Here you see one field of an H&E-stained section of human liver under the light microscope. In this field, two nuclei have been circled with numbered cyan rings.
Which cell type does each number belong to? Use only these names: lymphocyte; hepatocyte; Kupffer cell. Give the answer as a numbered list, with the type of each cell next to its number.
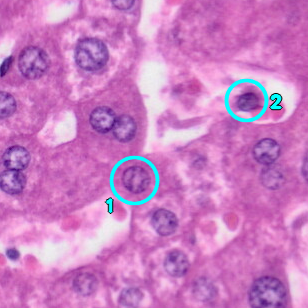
1. hepatocyte
2. Kupffer cell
